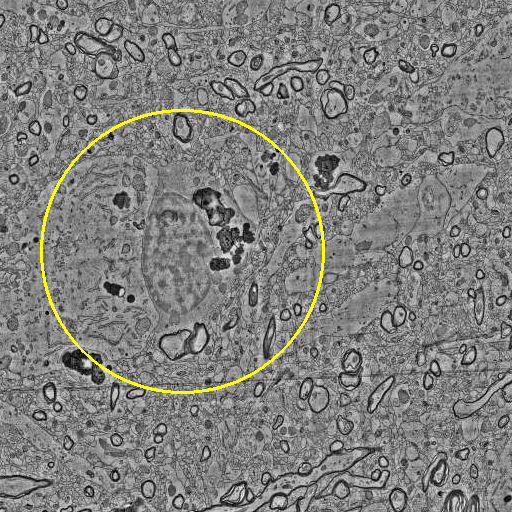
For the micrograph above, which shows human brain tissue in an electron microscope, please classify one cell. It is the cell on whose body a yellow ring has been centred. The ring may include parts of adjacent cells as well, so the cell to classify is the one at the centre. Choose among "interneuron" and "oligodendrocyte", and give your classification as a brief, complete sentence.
I classify this cell as an oligodendrocyte.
